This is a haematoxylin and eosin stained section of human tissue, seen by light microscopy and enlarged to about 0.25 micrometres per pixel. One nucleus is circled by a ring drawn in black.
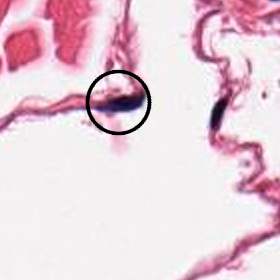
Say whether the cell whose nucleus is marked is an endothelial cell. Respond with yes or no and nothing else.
yes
